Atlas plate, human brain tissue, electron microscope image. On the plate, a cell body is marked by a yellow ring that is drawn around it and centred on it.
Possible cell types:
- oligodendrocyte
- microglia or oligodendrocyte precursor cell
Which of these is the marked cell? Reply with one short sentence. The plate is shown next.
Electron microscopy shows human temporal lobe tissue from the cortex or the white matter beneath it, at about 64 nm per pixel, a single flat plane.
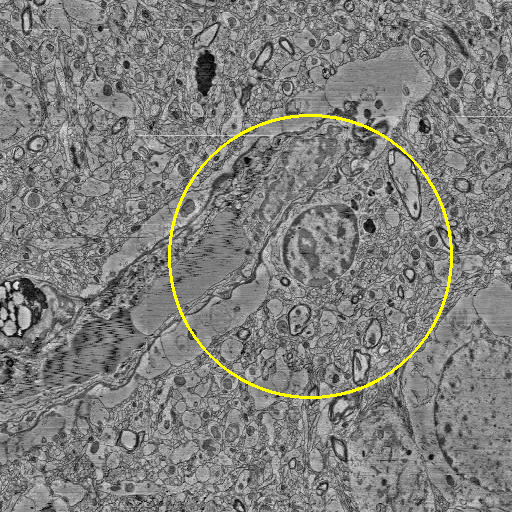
The marked cell is a microglial cell or oligodendrocyte precursor cell.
